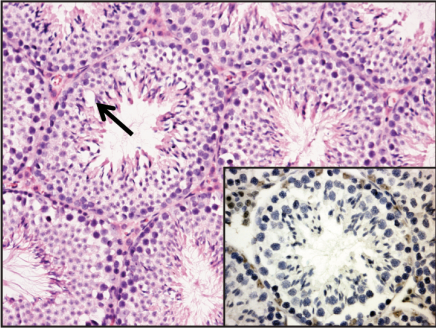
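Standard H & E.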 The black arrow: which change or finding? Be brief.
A: vacuoles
